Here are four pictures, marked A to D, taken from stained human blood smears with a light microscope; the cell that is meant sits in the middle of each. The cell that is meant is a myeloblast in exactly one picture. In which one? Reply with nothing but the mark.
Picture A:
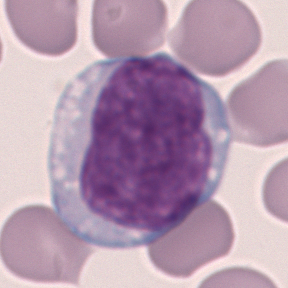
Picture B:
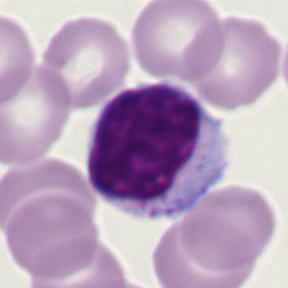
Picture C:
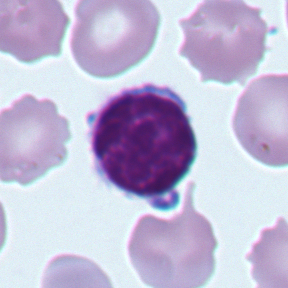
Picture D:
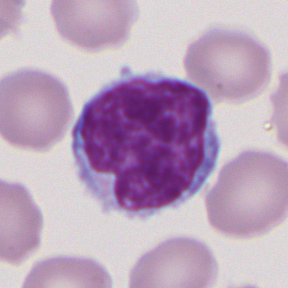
A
